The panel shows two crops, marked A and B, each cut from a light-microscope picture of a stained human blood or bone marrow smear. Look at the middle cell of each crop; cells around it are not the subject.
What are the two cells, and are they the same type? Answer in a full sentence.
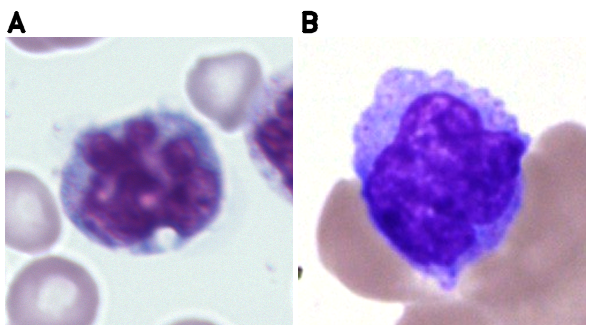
Yes, both crops show monocytes in their central position.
